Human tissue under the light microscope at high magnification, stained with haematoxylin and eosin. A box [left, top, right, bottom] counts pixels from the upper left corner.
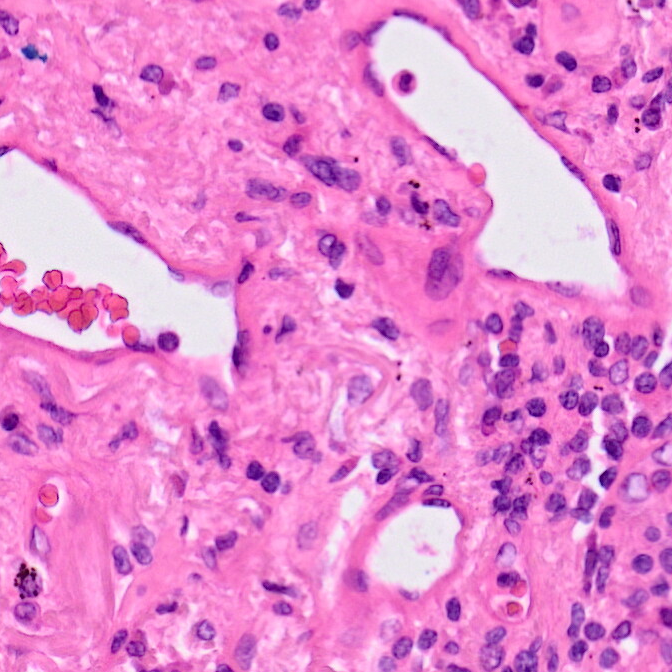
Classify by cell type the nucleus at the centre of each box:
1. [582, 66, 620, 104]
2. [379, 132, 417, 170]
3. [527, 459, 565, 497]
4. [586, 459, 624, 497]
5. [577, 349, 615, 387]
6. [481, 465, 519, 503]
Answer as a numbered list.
1. mast cell
2. fibroblast
3. lymphocyte
4. lymphocyte
5. lymphocyte
6. lymphocyte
